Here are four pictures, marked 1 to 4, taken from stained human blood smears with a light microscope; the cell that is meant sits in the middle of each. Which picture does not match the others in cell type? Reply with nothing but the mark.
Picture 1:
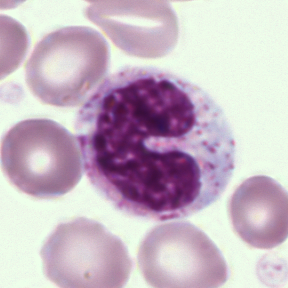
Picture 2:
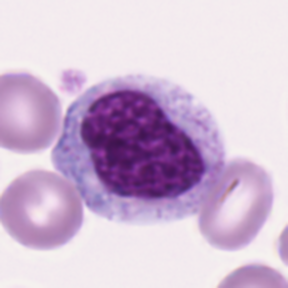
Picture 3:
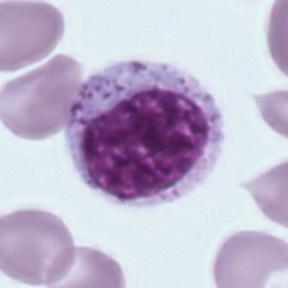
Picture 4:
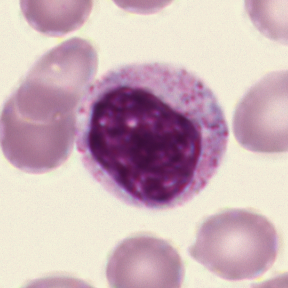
1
